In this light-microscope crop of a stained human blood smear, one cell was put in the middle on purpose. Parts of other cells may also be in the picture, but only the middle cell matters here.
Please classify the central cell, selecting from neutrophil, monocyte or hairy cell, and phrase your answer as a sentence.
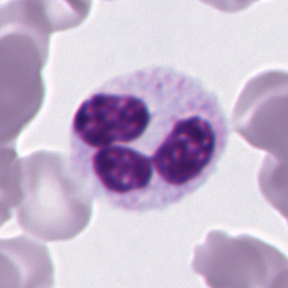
Framed in the middle of the crop is a neutrophil.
